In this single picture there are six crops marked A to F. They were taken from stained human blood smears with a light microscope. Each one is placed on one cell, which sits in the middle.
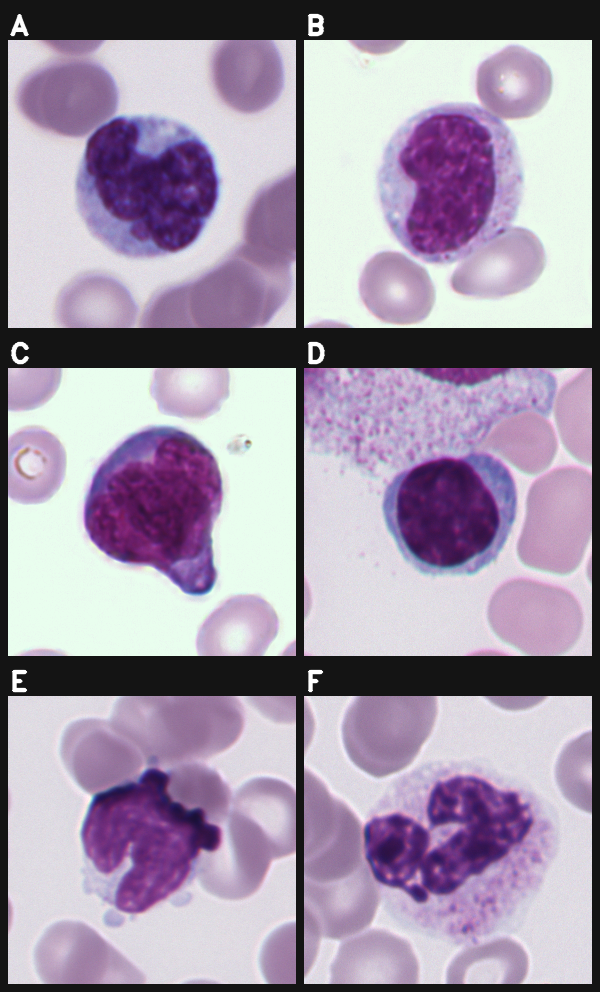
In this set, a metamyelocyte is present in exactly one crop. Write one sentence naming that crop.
It is crop B, not any other, that shows a metamyelocyte.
